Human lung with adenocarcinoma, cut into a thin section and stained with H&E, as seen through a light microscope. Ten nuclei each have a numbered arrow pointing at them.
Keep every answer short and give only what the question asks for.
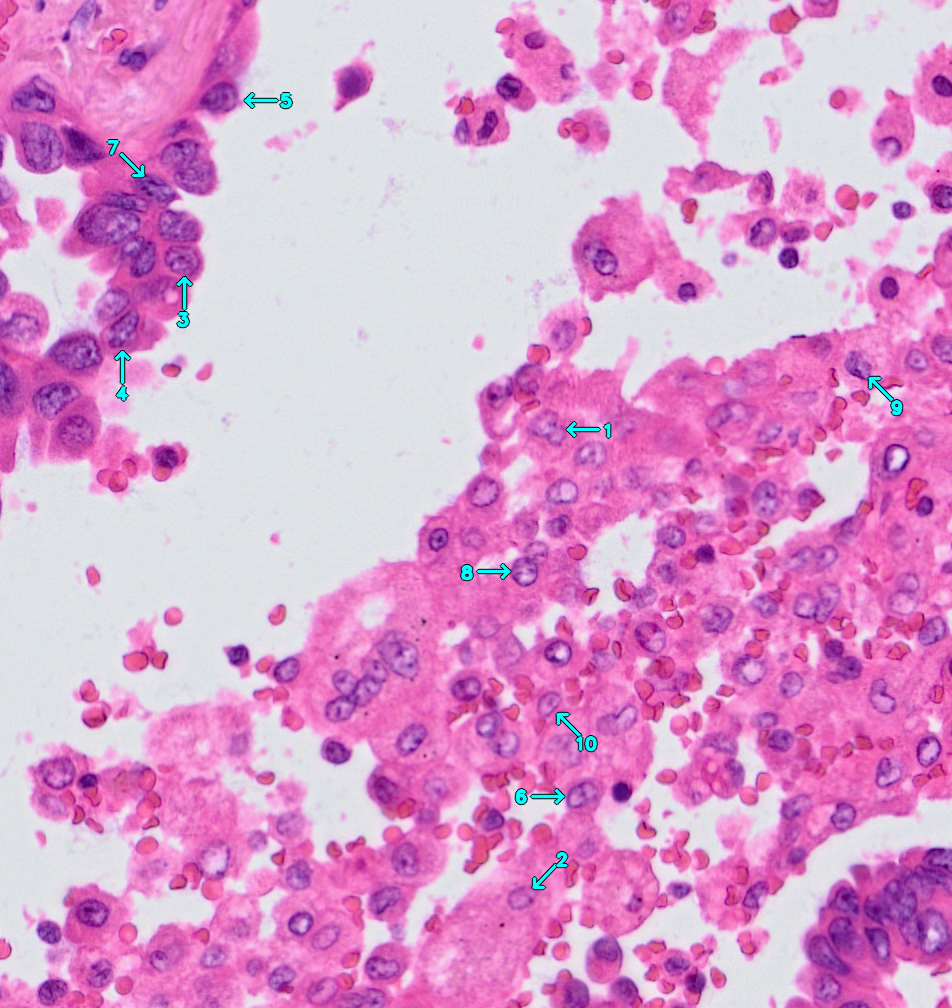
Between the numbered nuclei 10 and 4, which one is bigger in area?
4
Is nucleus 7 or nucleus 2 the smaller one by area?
2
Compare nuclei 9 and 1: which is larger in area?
1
